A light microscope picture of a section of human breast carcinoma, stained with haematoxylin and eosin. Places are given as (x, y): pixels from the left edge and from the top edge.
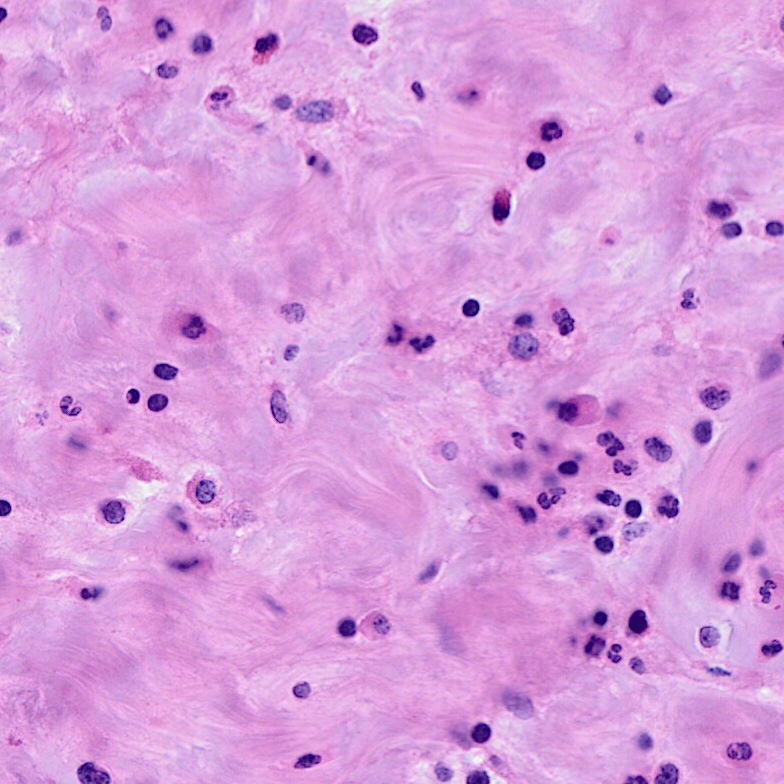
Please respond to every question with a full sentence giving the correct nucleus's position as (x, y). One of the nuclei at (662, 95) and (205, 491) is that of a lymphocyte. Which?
Here the nucleus at (662, 95) is the one that belongs to a lymphocyte.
